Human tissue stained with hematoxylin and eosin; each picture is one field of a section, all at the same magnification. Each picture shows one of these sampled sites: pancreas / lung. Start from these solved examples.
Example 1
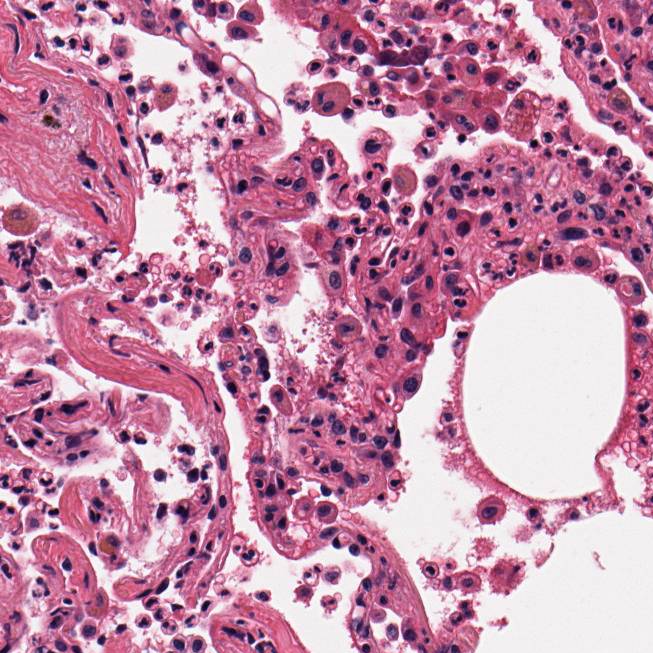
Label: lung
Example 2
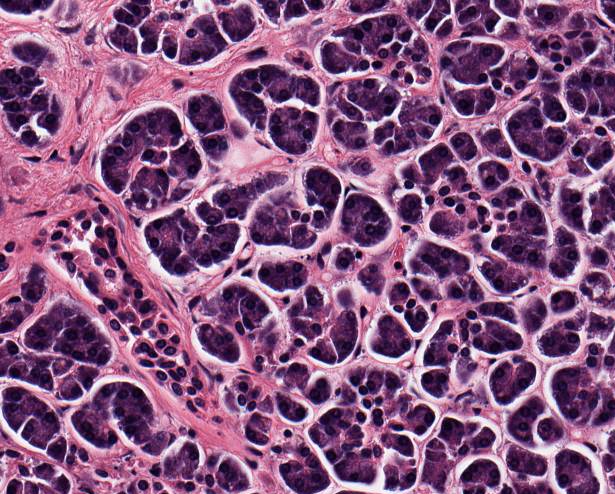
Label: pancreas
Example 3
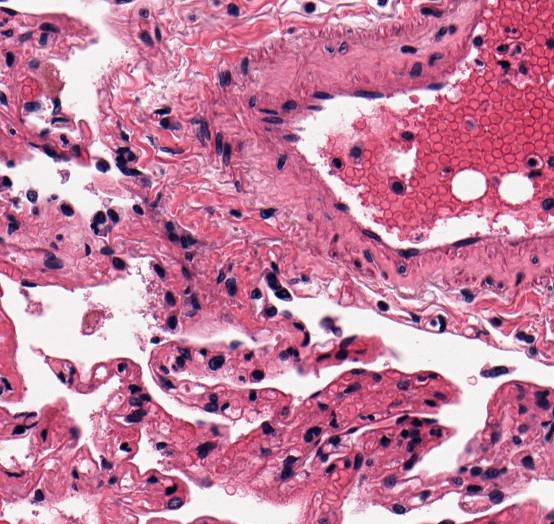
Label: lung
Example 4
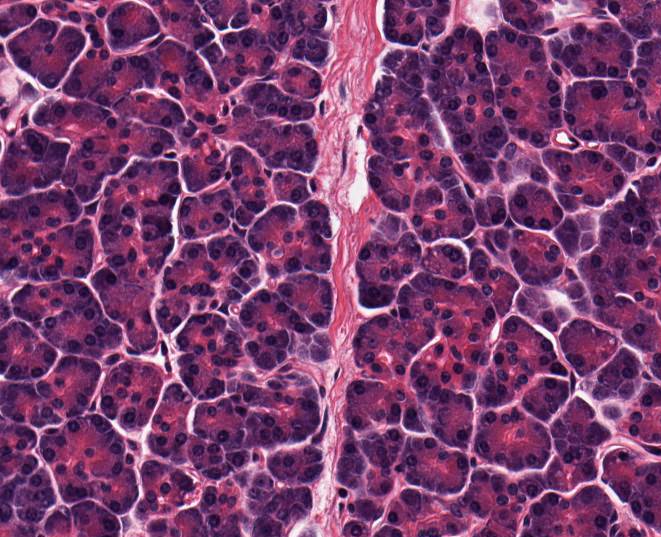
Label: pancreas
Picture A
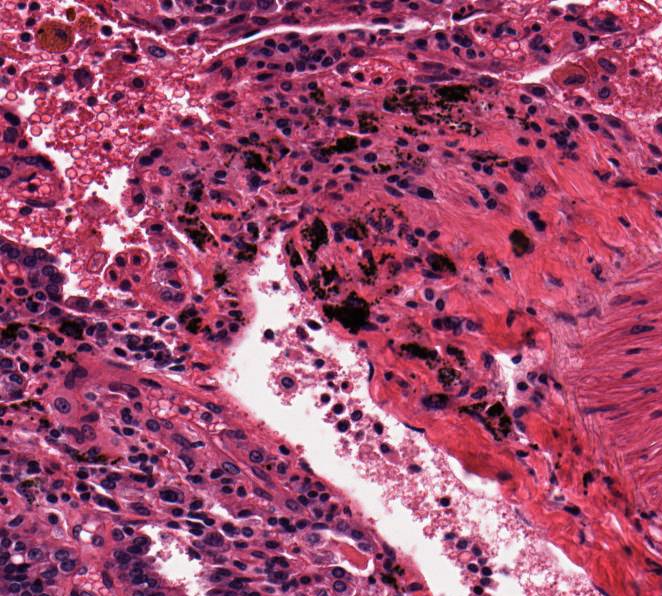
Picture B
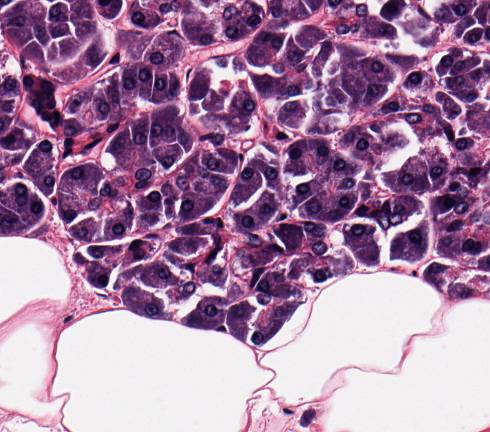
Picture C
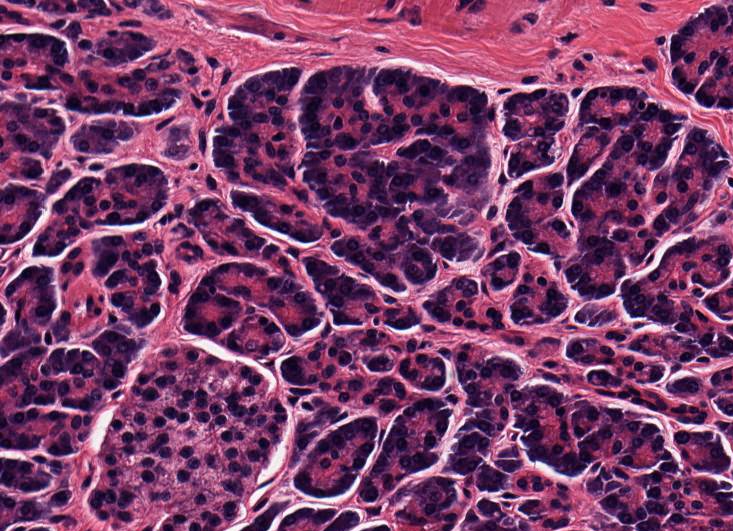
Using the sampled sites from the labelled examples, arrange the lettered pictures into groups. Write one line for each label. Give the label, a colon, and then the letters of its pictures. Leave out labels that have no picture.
pancreas: B, C
lung: A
